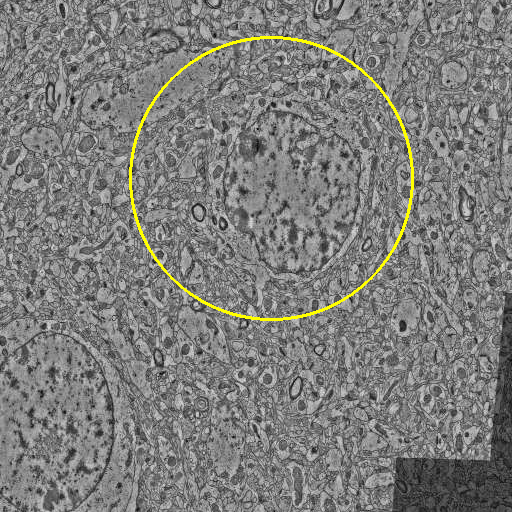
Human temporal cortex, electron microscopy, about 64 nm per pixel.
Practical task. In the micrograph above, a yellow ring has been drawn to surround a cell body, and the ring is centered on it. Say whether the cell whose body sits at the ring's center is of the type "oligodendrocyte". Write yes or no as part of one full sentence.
No, the cell at the center of the ring above is of another type.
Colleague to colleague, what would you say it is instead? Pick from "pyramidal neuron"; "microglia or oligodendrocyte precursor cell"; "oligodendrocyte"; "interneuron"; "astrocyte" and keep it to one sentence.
So the cell at the centre is an interneuron.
